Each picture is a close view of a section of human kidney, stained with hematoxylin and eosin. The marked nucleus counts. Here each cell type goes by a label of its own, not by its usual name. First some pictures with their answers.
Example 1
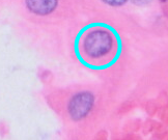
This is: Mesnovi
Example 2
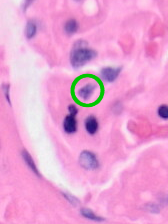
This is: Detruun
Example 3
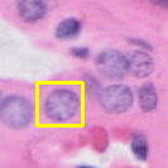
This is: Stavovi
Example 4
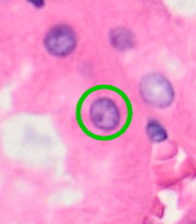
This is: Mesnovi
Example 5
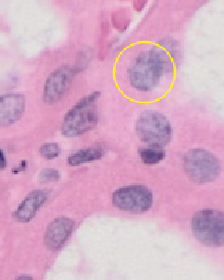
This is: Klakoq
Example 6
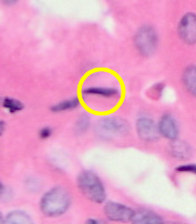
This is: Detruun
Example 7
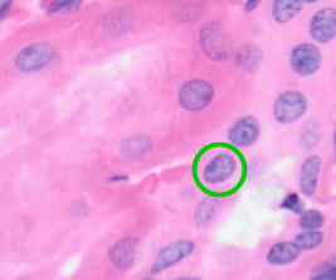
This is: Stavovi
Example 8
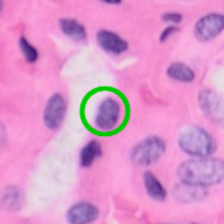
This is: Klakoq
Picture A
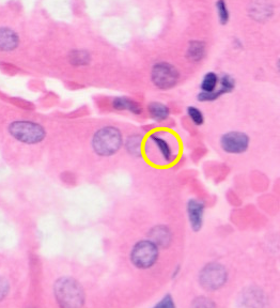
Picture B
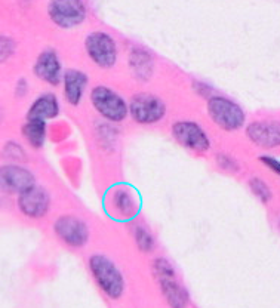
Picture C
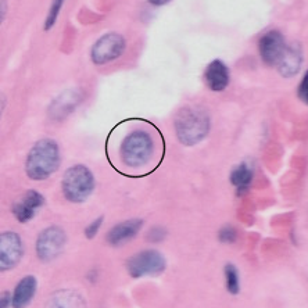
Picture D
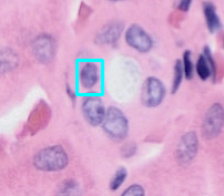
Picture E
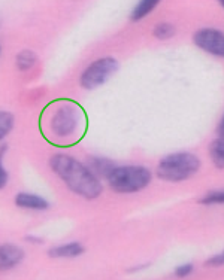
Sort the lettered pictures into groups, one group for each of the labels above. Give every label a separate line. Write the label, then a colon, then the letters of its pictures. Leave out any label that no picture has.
Detruun: A
Stavovi: B, D, E
Klakoq: C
